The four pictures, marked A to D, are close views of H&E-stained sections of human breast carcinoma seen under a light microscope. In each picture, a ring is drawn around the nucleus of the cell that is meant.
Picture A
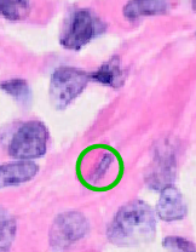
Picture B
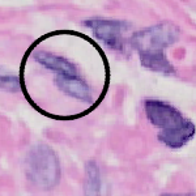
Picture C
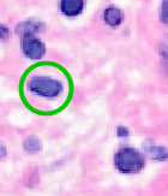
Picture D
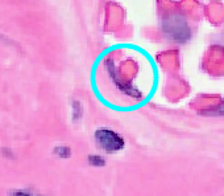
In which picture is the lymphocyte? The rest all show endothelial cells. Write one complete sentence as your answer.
It is picture C that shows the lymphocyte.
